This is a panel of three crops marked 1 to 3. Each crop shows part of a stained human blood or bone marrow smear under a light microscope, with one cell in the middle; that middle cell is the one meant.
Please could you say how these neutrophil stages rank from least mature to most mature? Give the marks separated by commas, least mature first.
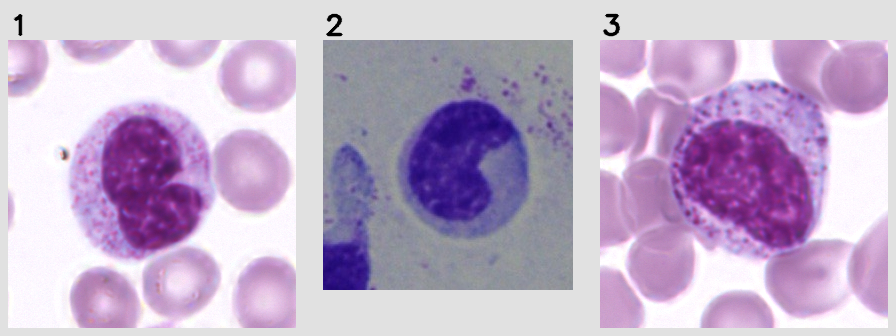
3, 2, 1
